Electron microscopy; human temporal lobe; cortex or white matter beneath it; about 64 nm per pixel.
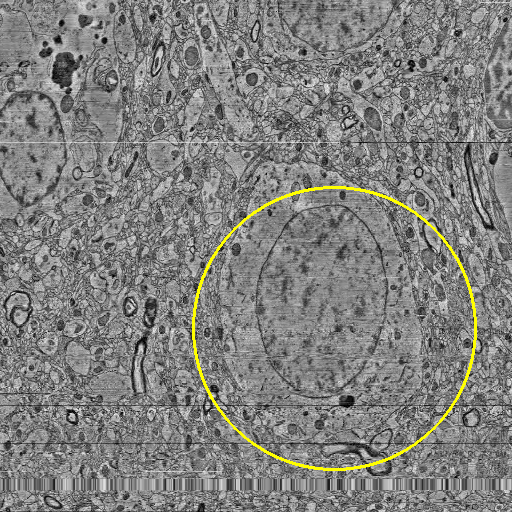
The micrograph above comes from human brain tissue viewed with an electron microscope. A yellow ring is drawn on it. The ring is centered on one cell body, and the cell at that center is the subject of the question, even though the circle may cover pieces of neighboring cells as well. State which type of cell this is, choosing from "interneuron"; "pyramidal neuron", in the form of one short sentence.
The cell the ring is centered on is a pyramidal neuron.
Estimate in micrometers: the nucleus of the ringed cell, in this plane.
About 13 by 8 micrometres, the nucleus being clearly longer than it is wide in this plane.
